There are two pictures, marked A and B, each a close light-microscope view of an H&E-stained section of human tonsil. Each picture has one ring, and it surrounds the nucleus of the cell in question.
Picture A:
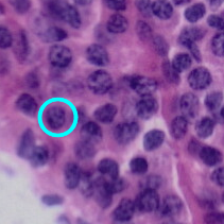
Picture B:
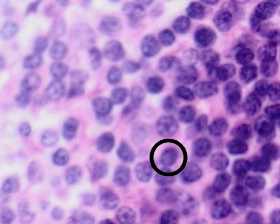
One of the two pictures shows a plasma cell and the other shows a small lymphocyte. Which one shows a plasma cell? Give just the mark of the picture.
A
